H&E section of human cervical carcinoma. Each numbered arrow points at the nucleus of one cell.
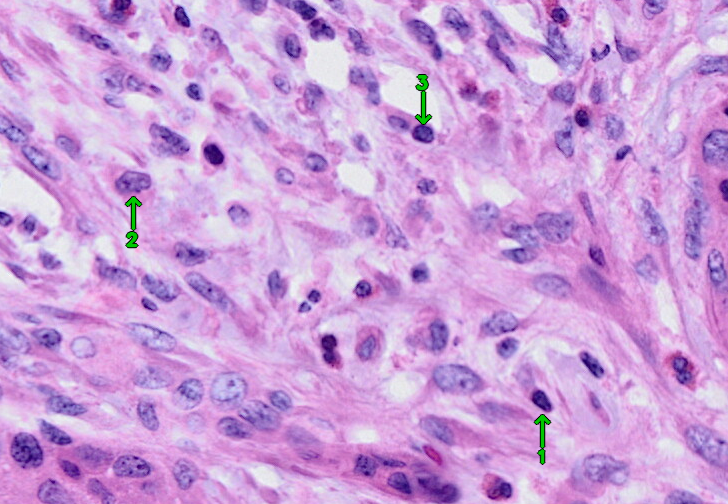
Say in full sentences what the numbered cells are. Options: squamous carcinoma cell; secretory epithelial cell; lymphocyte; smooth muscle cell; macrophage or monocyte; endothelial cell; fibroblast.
Cell 1 is a lymphocyte, cell 2 is a macrophage or monocyte and cell 3 is a lymphocyte.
